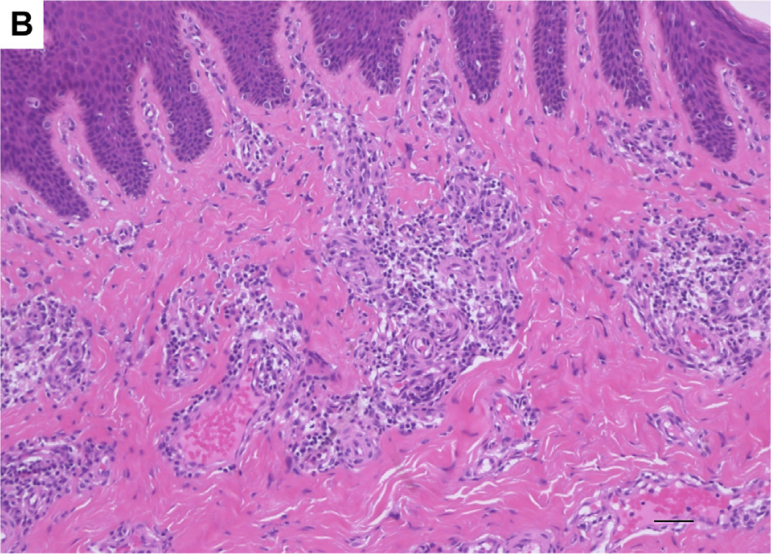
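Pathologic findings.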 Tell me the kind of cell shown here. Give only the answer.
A: Inflammatory cells.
